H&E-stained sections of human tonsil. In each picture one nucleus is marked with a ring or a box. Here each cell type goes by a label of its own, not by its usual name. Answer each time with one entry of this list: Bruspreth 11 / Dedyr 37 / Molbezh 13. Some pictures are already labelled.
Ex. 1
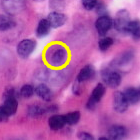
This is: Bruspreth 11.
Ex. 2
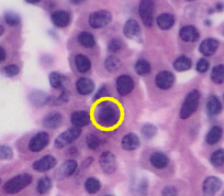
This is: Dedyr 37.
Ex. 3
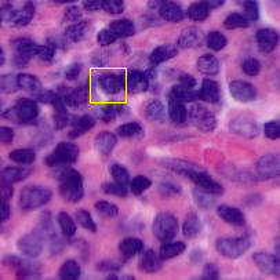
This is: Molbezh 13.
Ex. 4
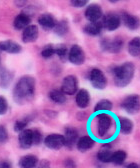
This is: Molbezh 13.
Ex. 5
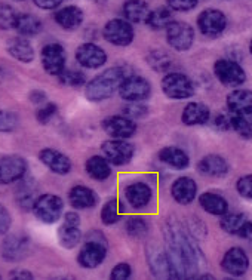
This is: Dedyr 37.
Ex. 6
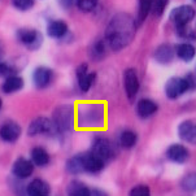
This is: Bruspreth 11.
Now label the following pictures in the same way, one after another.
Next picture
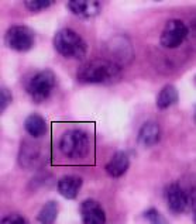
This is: Dedyr 37.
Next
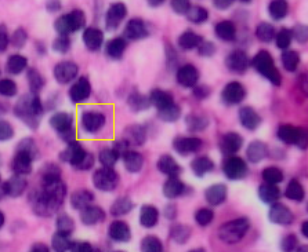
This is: Molbezh 13.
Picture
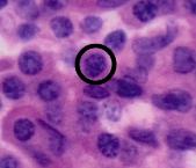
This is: Dedyr 37.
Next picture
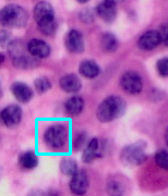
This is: Dedyr 37.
